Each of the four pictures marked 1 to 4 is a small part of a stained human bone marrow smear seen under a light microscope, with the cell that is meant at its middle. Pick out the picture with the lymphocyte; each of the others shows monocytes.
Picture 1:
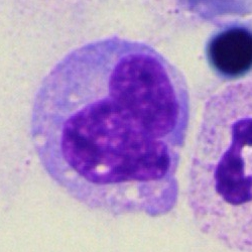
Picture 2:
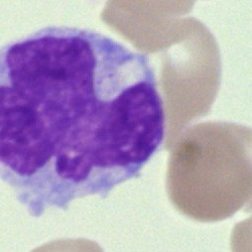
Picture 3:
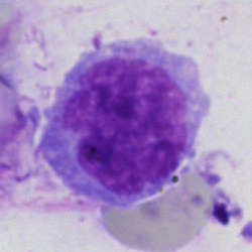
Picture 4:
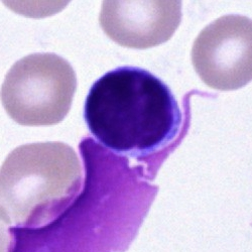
4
